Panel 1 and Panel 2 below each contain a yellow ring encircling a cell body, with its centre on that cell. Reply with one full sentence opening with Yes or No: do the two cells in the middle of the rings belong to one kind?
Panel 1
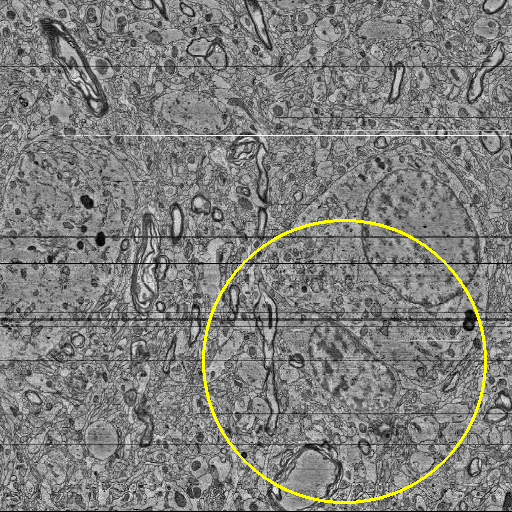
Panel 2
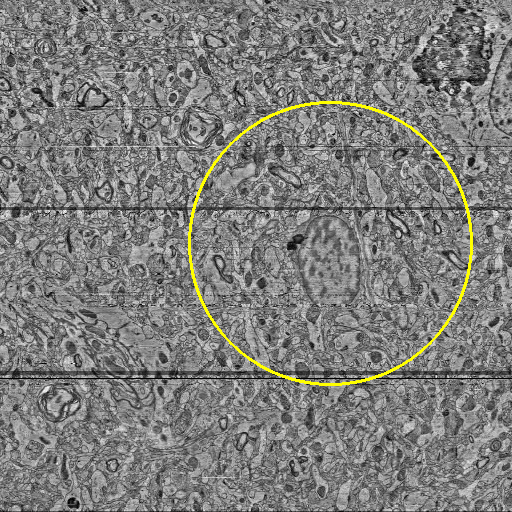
Yes, the cells at the middle of the Panel 1 ring and the Panel 2 ring are of one kind.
